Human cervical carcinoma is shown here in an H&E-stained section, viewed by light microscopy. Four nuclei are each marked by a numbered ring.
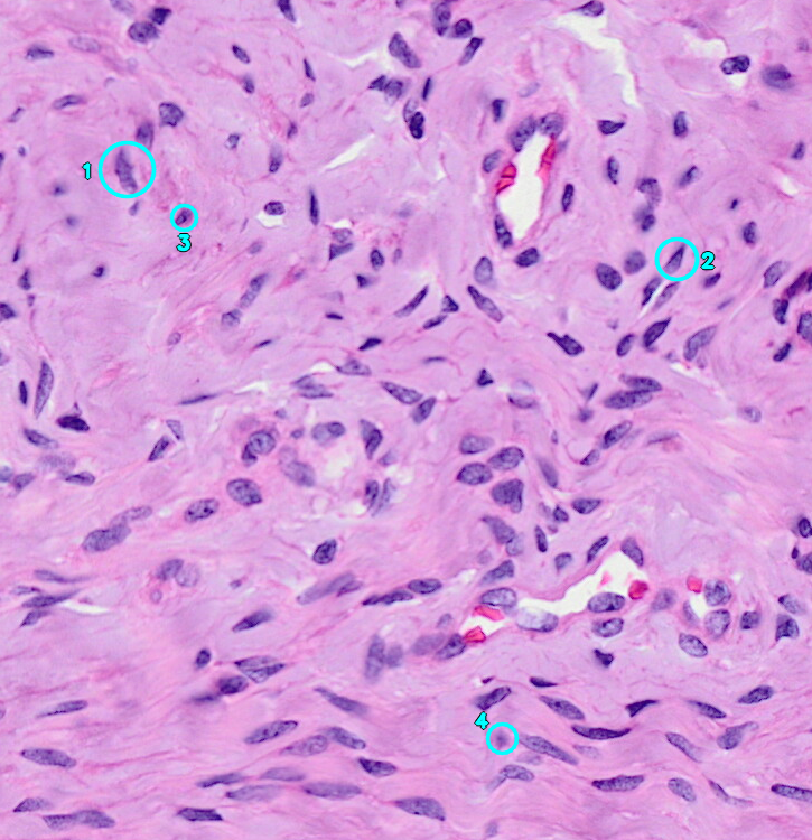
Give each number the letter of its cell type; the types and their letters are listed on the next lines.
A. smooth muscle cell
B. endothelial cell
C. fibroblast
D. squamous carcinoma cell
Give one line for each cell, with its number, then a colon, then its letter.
1: C
2: C
3: A
4: C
